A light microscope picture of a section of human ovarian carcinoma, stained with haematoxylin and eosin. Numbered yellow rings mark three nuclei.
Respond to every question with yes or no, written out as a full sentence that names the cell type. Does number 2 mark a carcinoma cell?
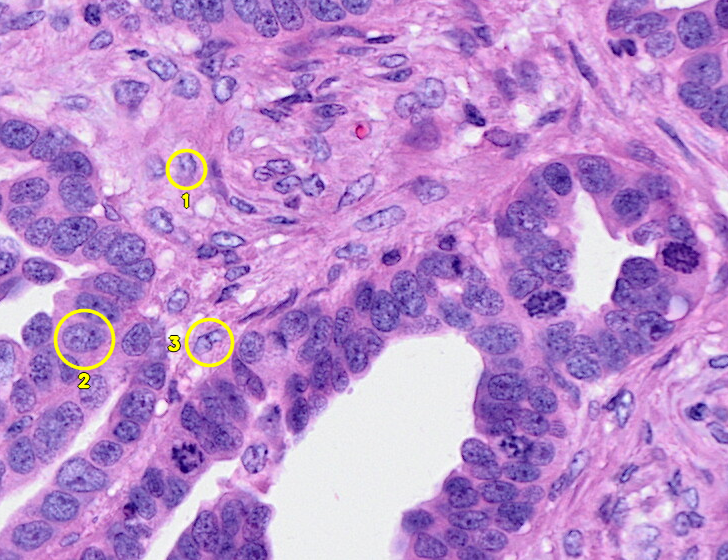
Yes, to put it simply, cell number 2 is a carcinoma cell.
